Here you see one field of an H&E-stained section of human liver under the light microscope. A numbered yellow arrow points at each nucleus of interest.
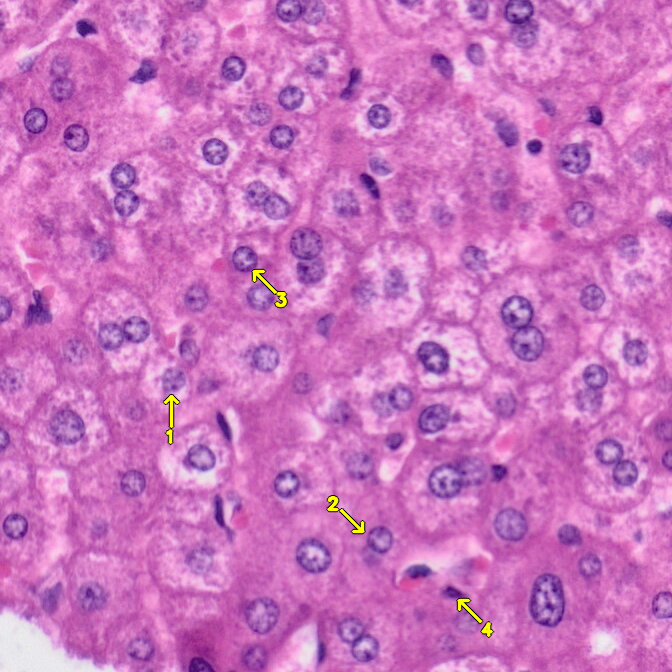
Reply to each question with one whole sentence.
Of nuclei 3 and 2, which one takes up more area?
Nucleus 2 is the larger one, covering about 1.5 times the area of nucleus 3.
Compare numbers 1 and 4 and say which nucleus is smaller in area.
The smaller nucleus is 4, and 1 covers roughly 2 times its area.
